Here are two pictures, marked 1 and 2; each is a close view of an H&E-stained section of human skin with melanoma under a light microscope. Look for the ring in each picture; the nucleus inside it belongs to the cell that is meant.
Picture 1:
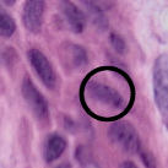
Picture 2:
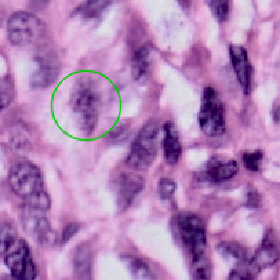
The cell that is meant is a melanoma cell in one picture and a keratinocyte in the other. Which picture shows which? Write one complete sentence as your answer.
It is picture 1 that shows a keratinocyte, and picture 2 that shows a melanoma cell.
